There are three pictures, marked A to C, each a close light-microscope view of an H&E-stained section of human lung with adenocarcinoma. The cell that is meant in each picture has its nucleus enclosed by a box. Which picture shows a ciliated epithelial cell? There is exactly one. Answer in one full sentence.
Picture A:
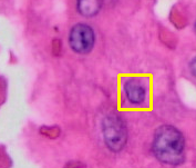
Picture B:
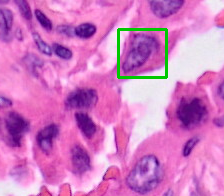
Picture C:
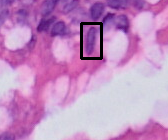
The ciliated epithelial cell is the one in picture C.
